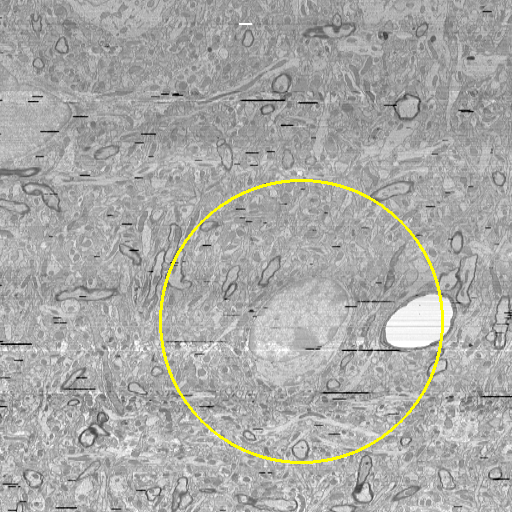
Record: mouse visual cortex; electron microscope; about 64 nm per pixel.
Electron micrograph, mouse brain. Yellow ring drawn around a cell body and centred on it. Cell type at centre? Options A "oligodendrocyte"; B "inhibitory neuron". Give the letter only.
A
